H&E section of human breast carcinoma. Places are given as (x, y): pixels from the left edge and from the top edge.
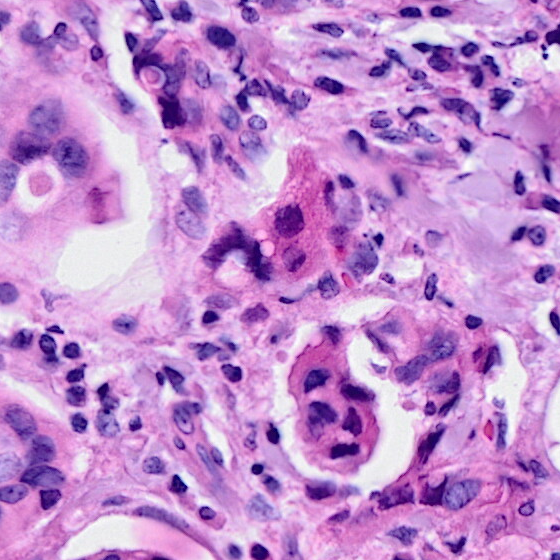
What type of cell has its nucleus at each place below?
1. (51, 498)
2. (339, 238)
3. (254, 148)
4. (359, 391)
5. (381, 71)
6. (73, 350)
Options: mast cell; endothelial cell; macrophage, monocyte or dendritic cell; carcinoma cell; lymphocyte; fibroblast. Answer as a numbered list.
1. carcinoma cell
2. endothelial cell
3. endothelial cell
4. carcinoma cell
5. lymphocyte
6. lymphocyte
